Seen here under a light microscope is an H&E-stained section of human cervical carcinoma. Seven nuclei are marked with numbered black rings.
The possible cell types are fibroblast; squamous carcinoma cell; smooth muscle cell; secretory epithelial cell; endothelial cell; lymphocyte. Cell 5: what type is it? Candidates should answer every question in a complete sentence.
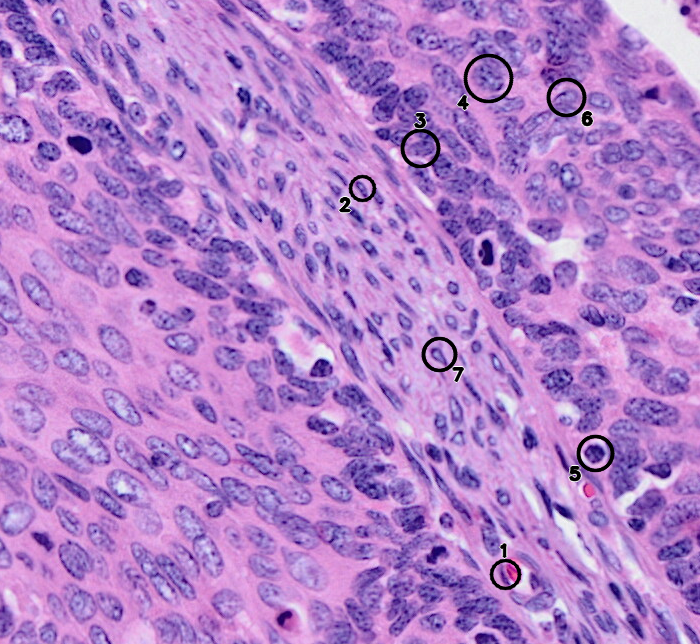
At number 5, the marked cell is a lymphocyte.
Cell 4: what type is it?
The cell whose nucleus carries the number 4 is a squamous carcinoma cell.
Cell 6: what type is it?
The cell pointed out by number 6 is a squamous carcinoma cell.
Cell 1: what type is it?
The cell indicated by marker 1 is an endothelial cell in this section.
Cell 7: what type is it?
The cell numbered 7 has been identified as a smooth muscle cell.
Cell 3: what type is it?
The mark numbered 3 indicates the nucleus of a squamous carcinoma cell.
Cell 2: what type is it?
Among the marked cells, number 2 is a smooth muscle cell.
